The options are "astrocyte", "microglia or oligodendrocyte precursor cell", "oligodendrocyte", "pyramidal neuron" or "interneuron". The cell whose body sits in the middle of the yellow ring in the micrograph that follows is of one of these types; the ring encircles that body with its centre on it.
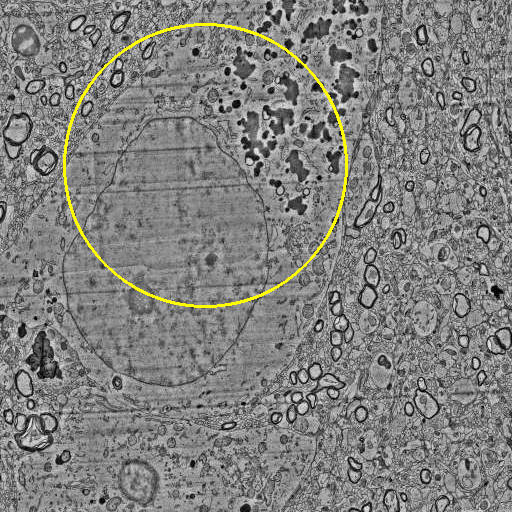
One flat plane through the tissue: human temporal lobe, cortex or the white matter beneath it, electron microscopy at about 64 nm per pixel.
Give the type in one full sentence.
Going by the micrograph, the cell centred in the yellow ring is a pyramidal neuron.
